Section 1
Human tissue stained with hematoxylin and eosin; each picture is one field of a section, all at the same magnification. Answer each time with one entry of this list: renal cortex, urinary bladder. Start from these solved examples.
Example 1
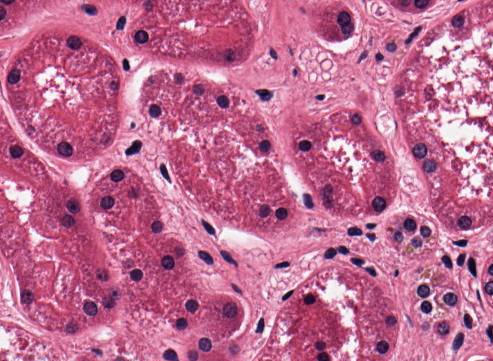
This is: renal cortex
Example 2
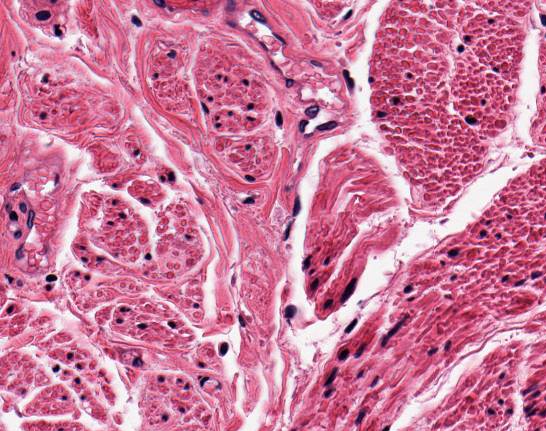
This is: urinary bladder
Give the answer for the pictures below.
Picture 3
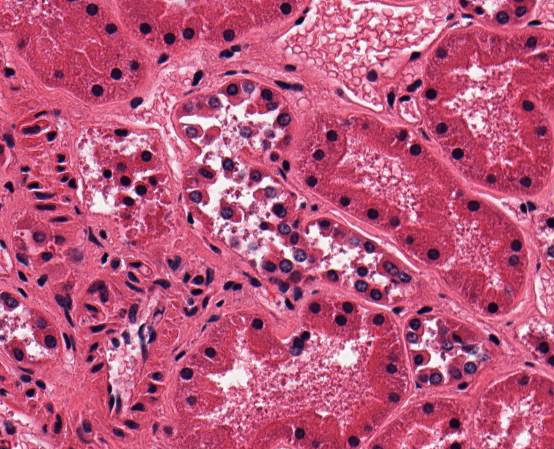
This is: renal cortex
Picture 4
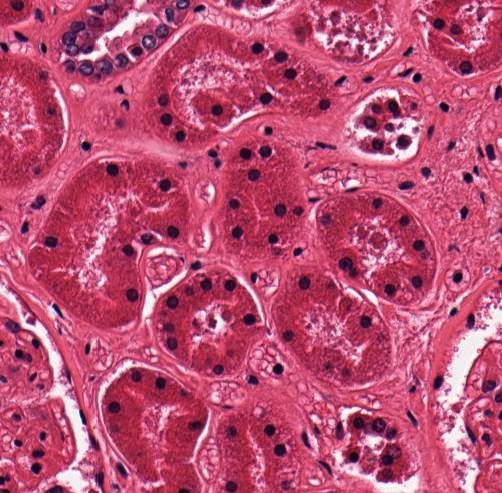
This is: renal cortex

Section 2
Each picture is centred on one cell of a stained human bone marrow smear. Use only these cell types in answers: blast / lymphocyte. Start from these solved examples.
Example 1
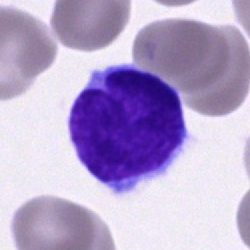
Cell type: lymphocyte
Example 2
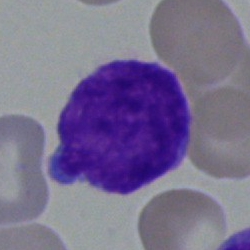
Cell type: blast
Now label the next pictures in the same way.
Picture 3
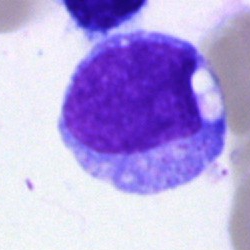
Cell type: blast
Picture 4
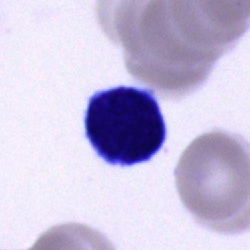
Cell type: lymphocyte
